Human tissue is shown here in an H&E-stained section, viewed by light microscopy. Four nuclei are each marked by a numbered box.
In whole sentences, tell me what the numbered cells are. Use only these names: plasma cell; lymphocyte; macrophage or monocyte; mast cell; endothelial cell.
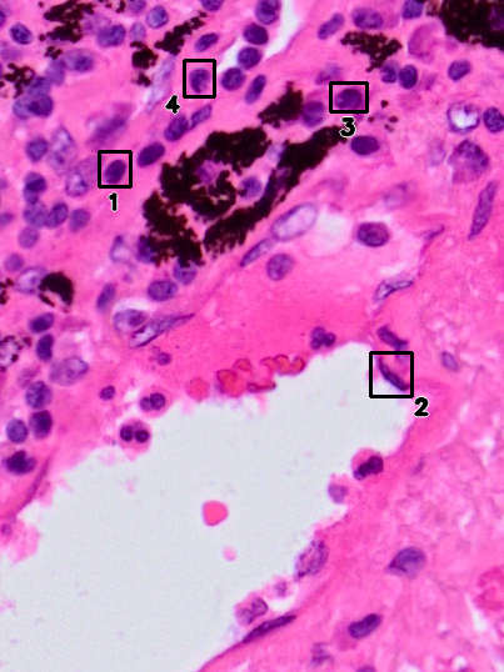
Cell 1 is a lymphocyte, cell 2 is an endothelial cell, cell 3 is a plasma cell and cell 4 is a lymphocyte.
